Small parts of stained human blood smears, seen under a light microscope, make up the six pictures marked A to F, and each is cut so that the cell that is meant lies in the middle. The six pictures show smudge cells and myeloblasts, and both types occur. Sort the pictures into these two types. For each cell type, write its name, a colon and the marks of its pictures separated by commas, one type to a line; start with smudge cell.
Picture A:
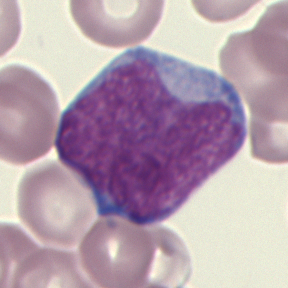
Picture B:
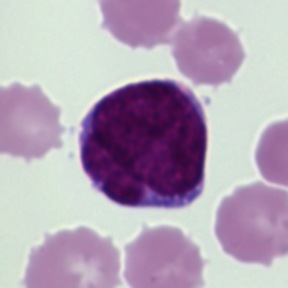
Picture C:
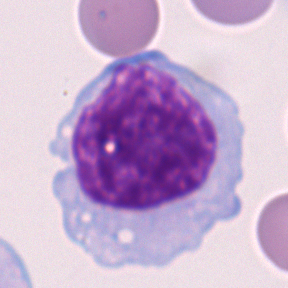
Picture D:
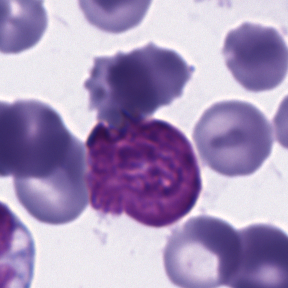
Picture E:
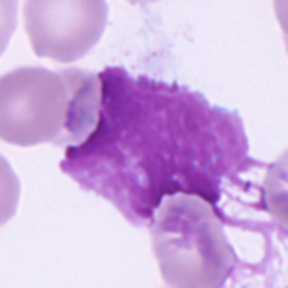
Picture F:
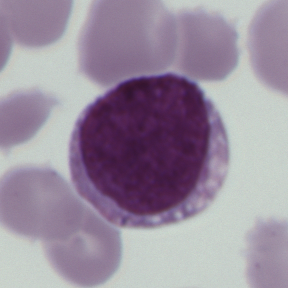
smudge cell: D, E
myeloblast: A, B, C, F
